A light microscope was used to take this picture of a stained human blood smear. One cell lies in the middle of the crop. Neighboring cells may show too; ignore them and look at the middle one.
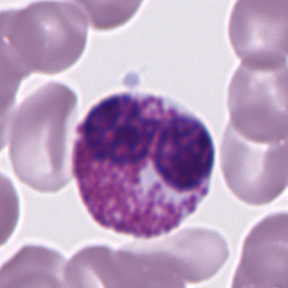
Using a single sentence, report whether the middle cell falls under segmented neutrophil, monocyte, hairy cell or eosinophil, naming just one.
The central cell shown in this smear crop is an eosinophil.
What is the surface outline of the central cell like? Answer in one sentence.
In short, the margin is smooth with no projections at all.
